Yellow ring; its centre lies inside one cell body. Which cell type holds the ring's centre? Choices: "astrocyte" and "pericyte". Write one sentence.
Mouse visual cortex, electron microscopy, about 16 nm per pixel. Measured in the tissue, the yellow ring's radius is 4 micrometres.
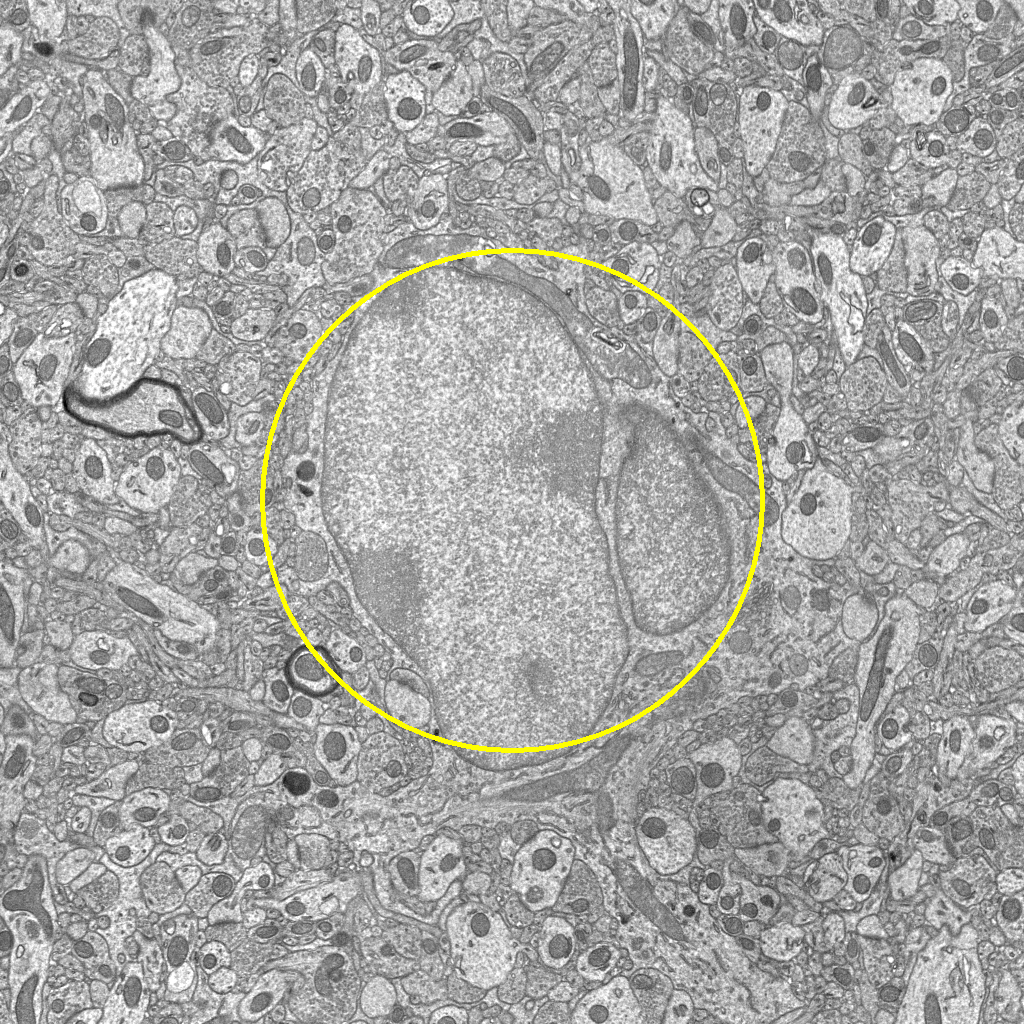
At the centre of the ring sits an astrocyte.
